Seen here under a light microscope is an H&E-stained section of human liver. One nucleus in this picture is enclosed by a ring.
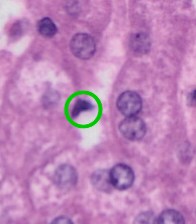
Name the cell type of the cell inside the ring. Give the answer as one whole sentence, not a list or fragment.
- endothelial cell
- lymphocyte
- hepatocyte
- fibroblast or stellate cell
It is as an endothelial cell that the cell inside the ring is classified.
